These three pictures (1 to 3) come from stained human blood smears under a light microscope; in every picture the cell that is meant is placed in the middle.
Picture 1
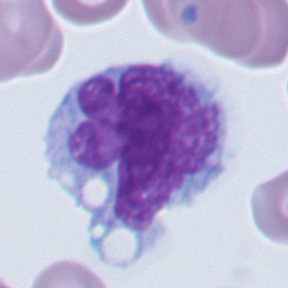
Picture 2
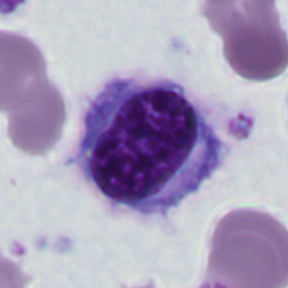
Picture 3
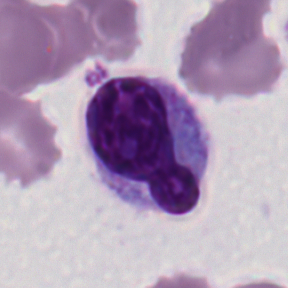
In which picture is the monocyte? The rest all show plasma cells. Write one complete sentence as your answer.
Picture 1 is the one that shows the monocyte.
